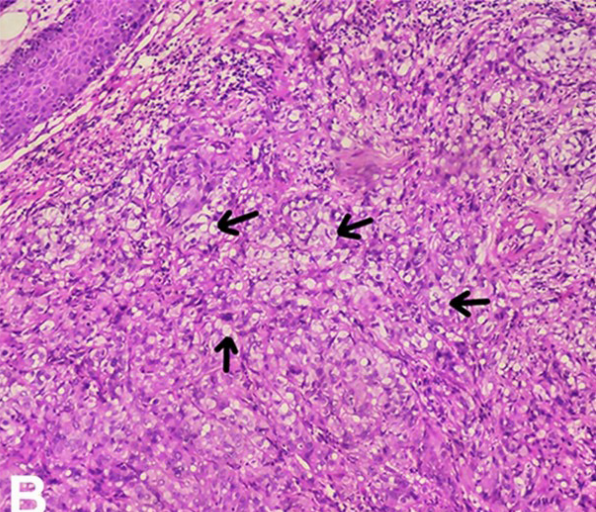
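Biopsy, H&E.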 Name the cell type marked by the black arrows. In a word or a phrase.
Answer: Tumor cells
